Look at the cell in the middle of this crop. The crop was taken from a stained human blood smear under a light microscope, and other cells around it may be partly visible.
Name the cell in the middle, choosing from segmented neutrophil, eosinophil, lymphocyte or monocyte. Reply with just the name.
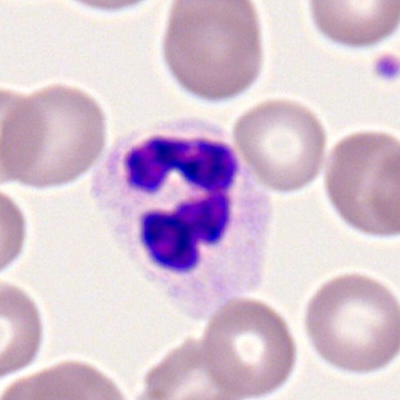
segmented neutrophil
